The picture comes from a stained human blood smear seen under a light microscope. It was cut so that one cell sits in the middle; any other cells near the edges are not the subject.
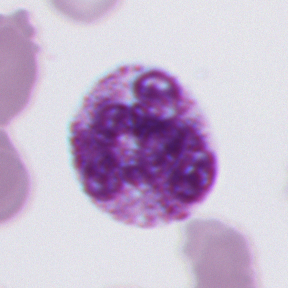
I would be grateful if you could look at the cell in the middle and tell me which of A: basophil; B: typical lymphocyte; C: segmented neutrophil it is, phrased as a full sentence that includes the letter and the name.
Option C is the right one, for the cell in the middle is a segmented neutrophil.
